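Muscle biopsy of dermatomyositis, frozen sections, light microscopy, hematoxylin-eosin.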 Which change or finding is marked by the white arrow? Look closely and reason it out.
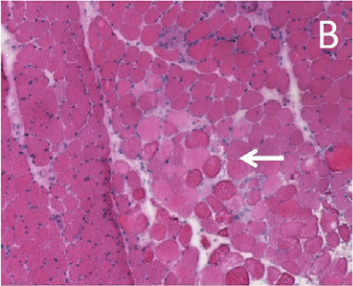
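The arrow points at a cluster of adjacent fibers that look pale and altered compared with the surrounding fibers. The affected fibers lie together in one area rather than scattered.
Contiguous necrotic myofibers.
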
